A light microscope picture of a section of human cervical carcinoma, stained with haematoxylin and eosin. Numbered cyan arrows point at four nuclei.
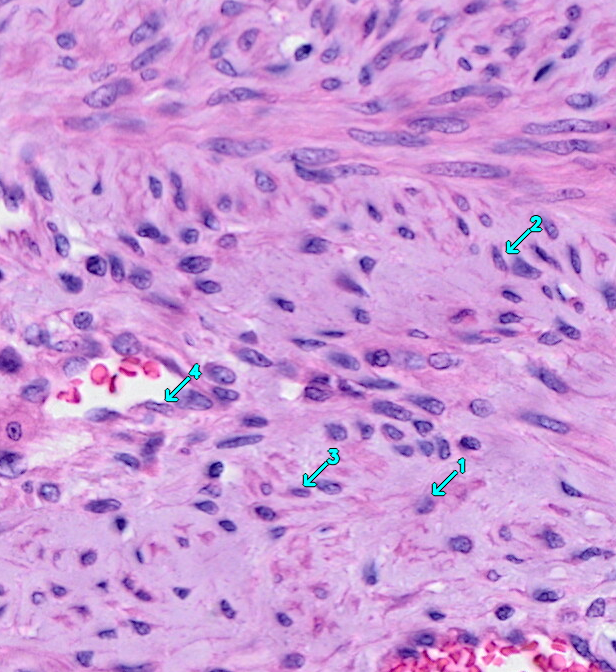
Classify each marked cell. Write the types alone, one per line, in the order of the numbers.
smooth muscle cell
smooth muscle cell
smooth muscle cell
endothelial cell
